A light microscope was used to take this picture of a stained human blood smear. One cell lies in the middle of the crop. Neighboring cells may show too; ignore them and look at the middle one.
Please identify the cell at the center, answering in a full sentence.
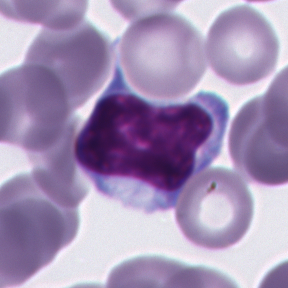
The cell at the middle of the crop is recognized as a typical lymphocyte.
